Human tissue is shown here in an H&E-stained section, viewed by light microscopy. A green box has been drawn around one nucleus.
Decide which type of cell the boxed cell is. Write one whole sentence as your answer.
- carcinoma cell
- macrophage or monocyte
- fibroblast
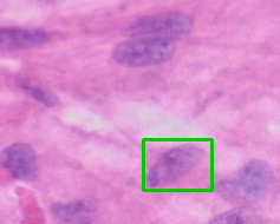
The cell type represented by the boxed cell is that of a fibroblast.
